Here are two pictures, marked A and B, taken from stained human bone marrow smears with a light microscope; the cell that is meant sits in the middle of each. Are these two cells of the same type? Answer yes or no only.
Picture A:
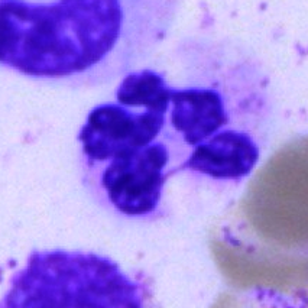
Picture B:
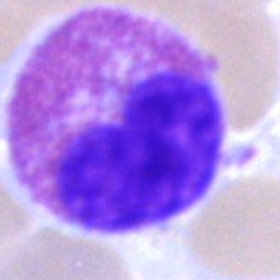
no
